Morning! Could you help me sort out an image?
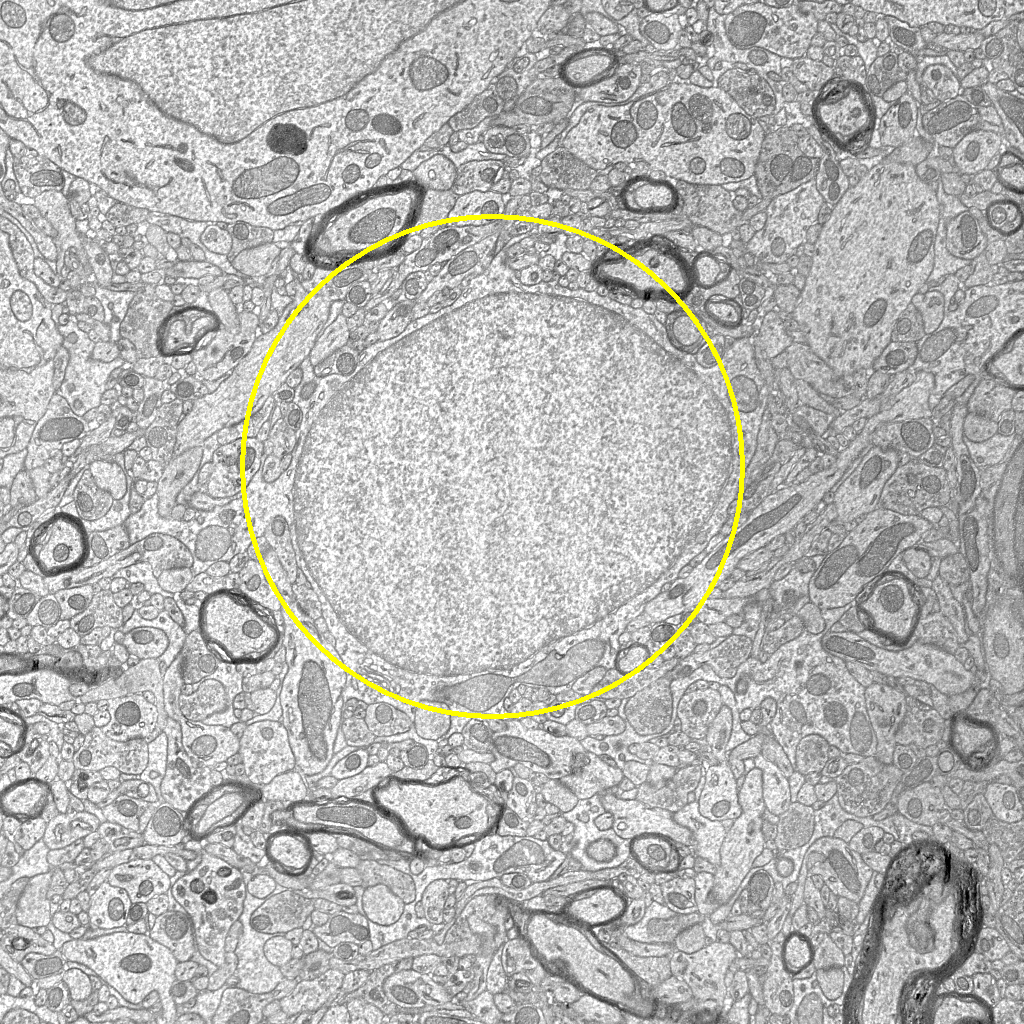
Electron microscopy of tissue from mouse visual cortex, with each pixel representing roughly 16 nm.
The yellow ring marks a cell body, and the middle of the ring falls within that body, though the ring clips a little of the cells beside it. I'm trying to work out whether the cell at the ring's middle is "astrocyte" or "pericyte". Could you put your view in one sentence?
The cell body at the ring's middle is that of an astrocyte.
